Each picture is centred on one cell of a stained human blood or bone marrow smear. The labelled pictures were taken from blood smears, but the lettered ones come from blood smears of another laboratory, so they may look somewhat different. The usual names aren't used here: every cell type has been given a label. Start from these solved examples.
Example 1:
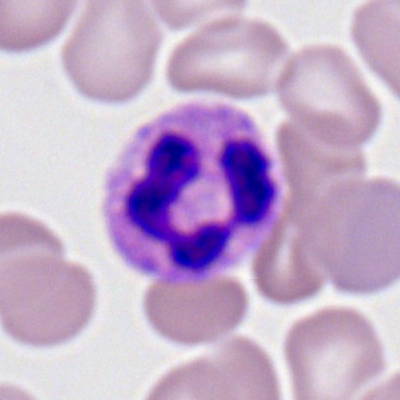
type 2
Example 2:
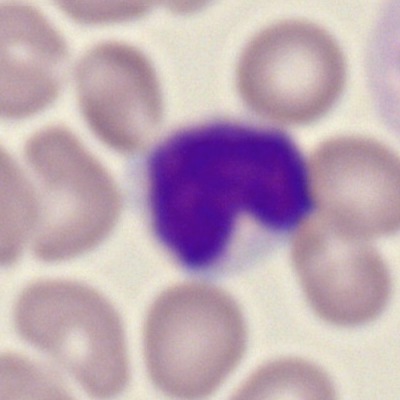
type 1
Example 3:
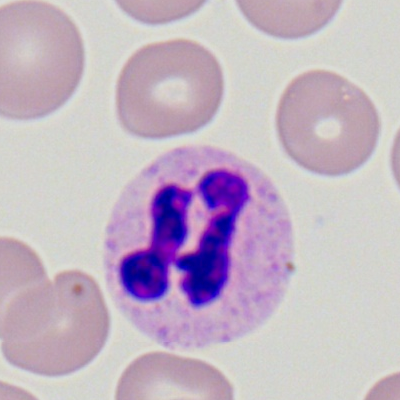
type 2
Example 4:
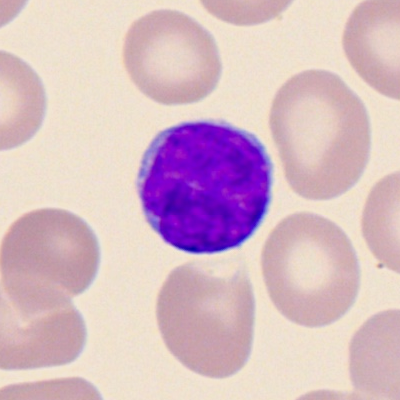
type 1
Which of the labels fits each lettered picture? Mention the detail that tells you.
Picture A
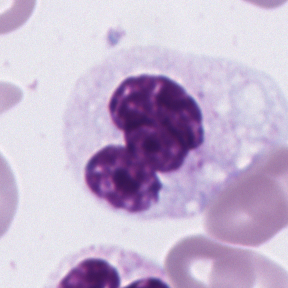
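Label: type 2. The cytoplasm is abundant and pale greyish-lilac.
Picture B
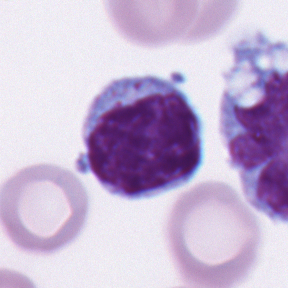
Label: type 1. The cytoplasm forms a thin crescent that is widest at the upper left.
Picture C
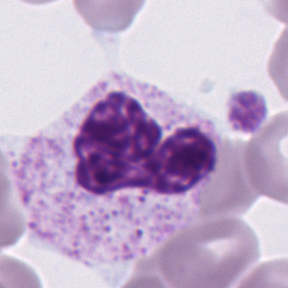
Label: type 2. The cytoplasm is abundant and very pale.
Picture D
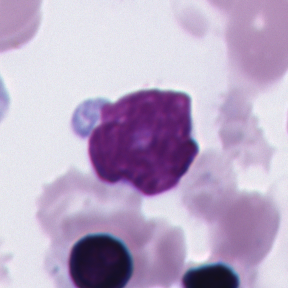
Label: type 1. Cytoplasm is scant, showing at most as a thin rim around the nucleus.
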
